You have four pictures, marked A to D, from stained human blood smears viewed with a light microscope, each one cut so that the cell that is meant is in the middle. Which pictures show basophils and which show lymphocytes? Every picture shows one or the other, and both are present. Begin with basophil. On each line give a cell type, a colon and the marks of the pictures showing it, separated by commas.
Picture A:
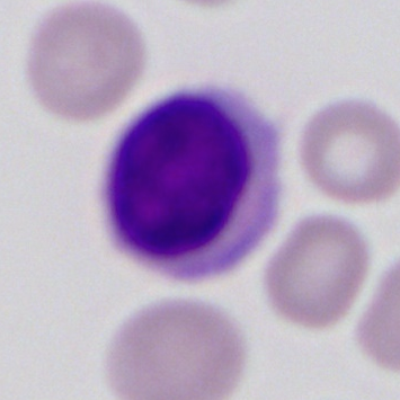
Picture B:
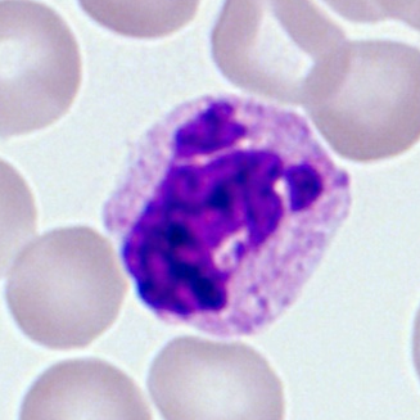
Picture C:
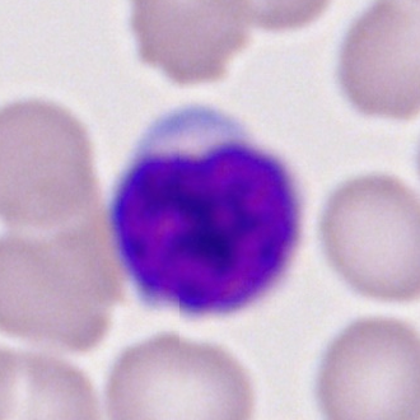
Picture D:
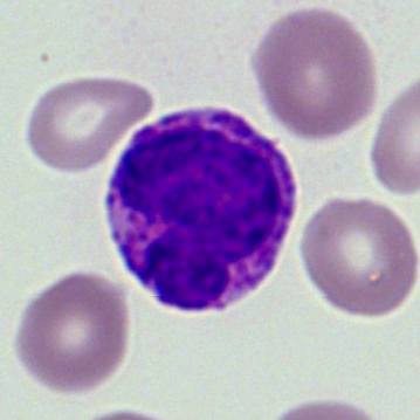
basophil: B, D
lymphocyte: A, C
